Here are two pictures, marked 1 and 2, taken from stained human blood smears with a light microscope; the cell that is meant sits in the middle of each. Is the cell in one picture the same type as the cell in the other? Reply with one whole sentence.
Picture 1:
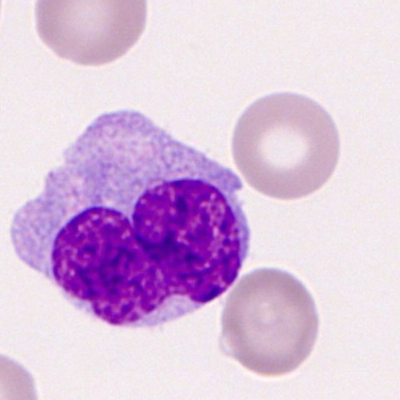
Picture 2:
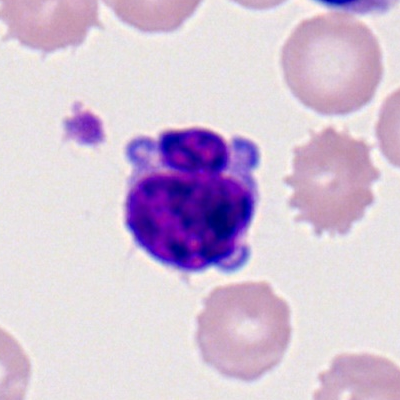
No. Picture 1 shows a monocyte, but picture 2 shows a lymphocyte.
